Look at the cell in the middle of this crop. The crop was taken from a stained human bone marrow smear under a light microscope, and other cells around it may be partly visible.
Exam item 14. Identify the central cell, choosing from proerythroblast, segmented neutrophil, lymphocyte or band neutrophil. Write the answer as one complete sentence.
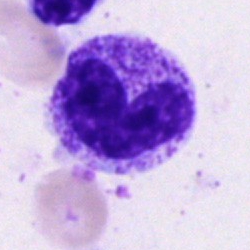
The crop's centre is taken up by a band neutrophil.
